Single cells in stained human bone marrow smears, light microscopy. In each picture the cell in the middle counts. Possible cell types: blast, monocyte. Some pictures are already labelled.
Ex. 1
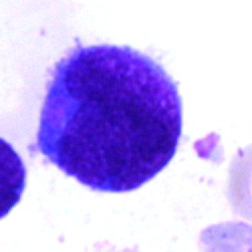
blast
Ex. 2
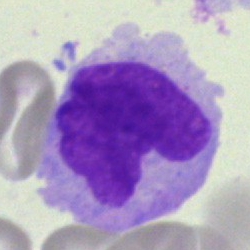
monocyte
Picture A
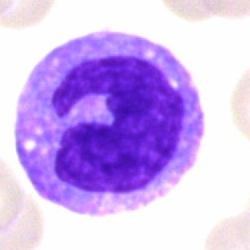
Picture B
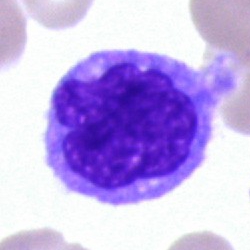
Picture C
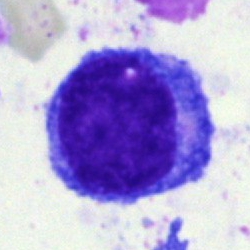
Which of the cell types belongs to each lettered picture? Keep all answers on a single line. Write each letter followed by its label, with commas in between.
A monocyte, B monocyte, C blast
